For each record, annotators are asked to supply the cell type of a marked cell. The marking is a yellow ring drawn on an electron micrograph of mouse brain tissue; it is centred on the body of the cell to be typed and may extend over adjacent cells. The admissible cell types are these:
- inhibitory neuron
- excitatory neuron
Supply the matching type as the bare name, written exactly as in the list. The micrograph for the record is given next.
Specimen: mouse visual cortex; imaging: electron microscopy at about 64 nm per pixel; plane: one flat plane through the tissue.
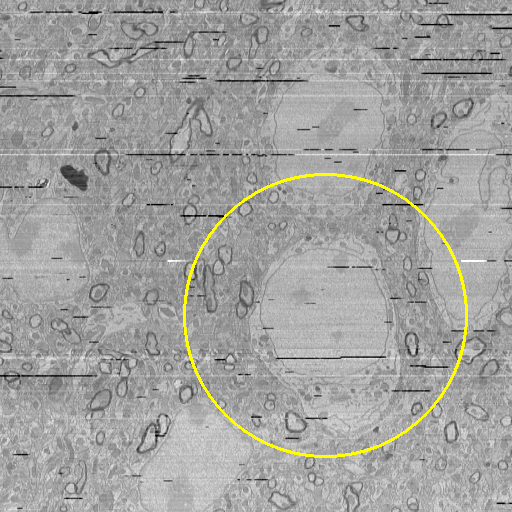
excitatory neuron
